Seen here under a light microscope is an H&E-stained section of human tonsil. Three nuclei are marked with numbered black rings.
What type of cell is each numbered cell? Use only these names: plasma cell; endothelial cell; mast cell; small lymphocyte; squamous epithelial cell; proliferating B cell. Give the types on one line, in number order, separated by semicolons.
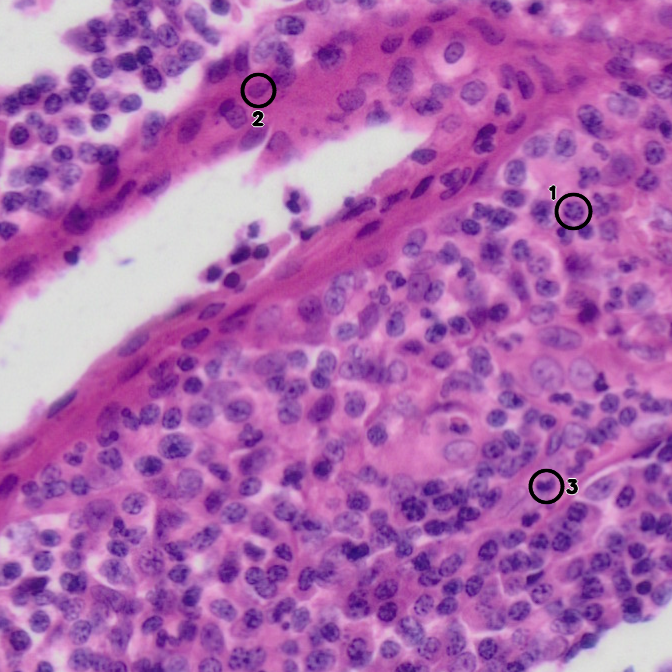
plasma cell; squamous epithelial cell; endothelial cell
